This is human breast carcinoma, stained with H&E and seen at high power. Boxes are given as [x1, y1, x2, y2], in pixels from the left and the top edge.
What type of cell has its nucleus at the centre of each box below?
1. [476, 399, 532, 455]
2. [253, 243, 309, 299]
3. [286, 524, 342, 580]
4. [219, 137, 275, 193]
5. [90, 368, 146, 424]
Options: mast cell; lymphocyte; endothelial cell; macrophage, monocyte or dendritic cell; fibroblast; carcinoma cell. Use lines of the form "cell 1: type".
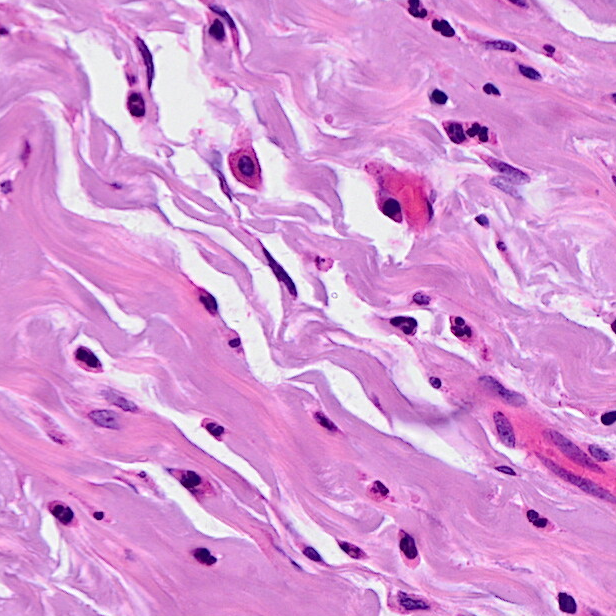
cell 1: endothelial cell
cell 2: fibroblast
cell 3: fibroblast
cell 4: mast cell
cell 5: fibroblast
